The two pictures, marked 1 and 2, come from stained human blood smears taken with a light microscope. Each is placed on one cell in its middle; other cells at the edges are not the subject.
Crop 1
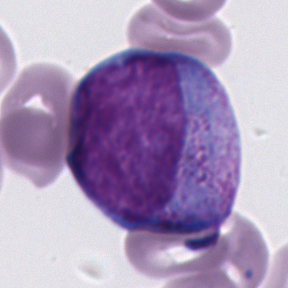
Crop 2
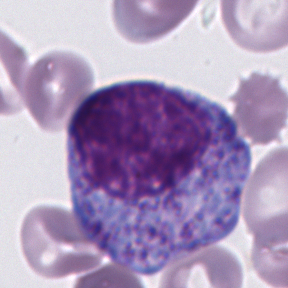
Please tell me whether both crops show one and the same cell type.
no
